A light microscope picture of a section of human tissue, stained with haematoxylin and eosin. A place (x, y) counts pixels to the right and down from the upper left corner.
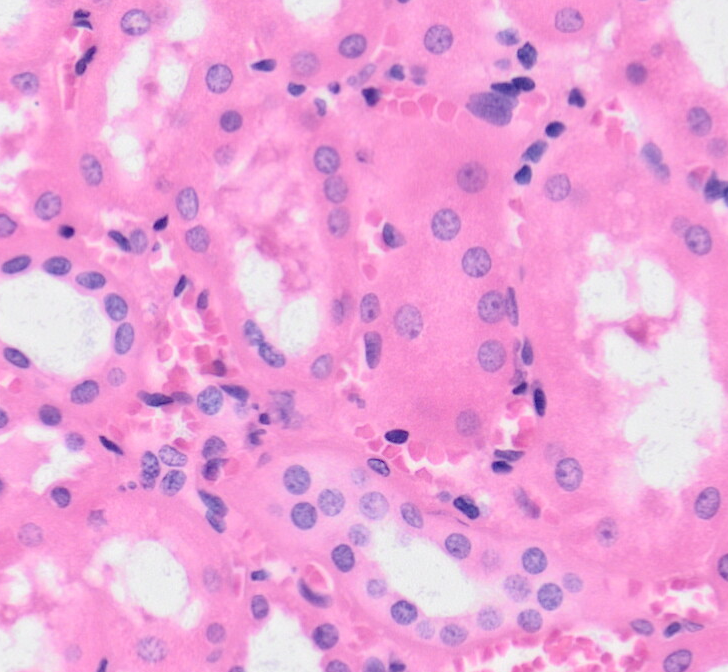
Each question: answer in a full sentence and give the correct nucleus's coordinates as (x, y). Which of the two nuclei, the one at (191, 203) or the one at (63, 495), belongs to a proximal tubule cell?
Lying within a proximal tubule cell is the nucleus at (191, 203).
